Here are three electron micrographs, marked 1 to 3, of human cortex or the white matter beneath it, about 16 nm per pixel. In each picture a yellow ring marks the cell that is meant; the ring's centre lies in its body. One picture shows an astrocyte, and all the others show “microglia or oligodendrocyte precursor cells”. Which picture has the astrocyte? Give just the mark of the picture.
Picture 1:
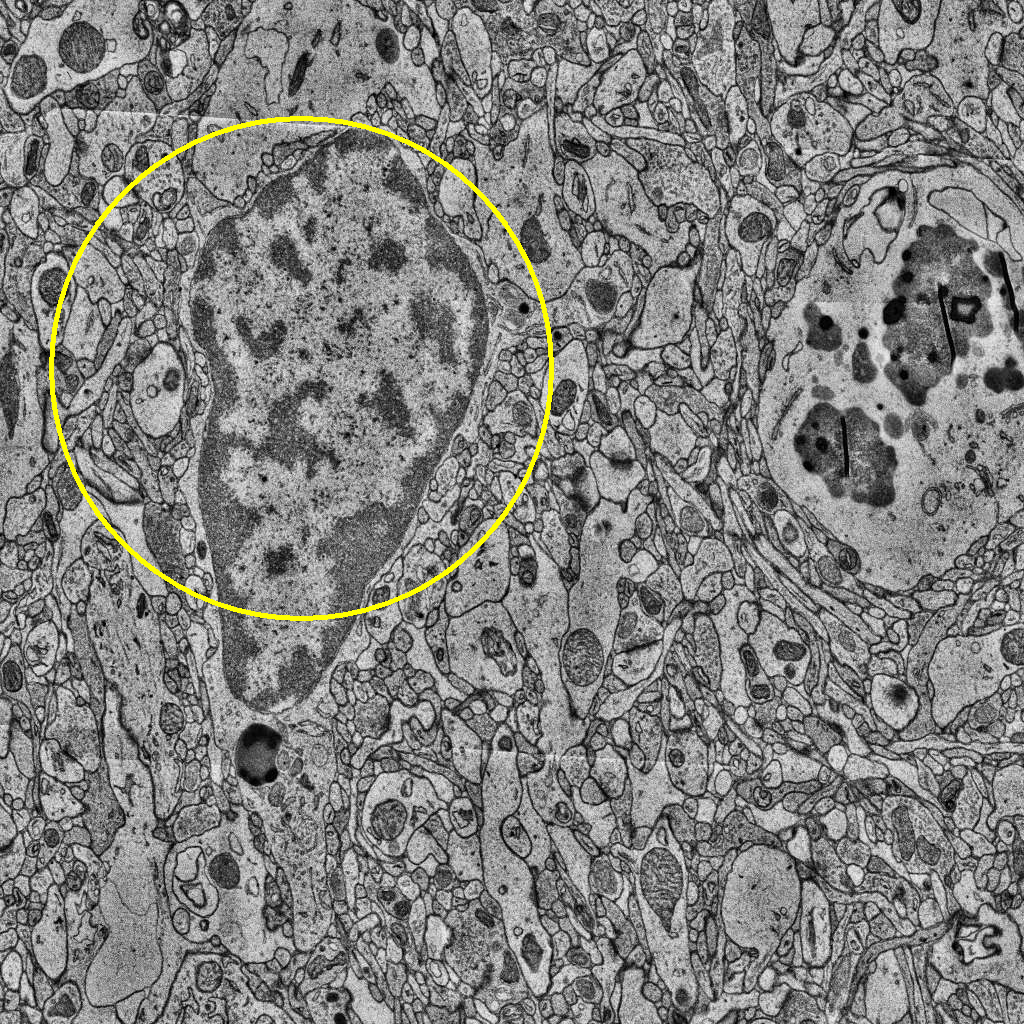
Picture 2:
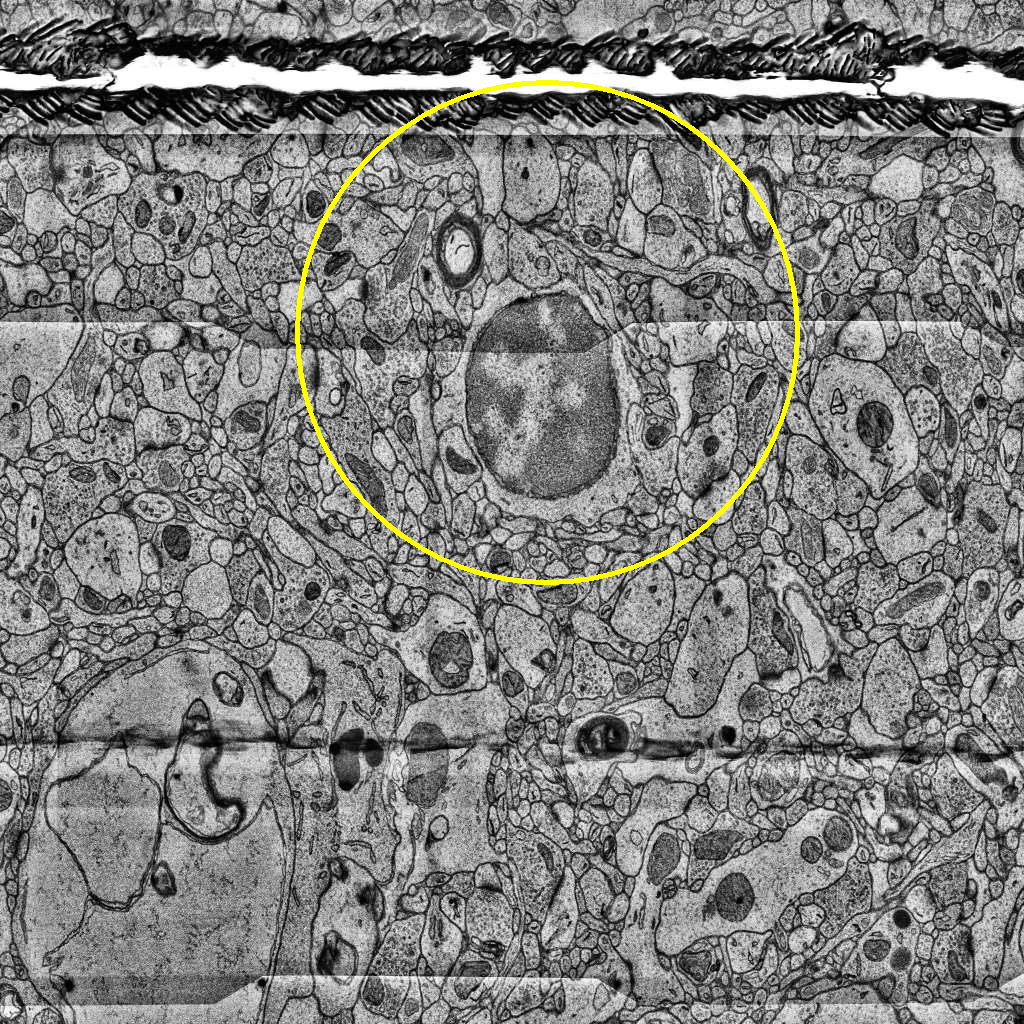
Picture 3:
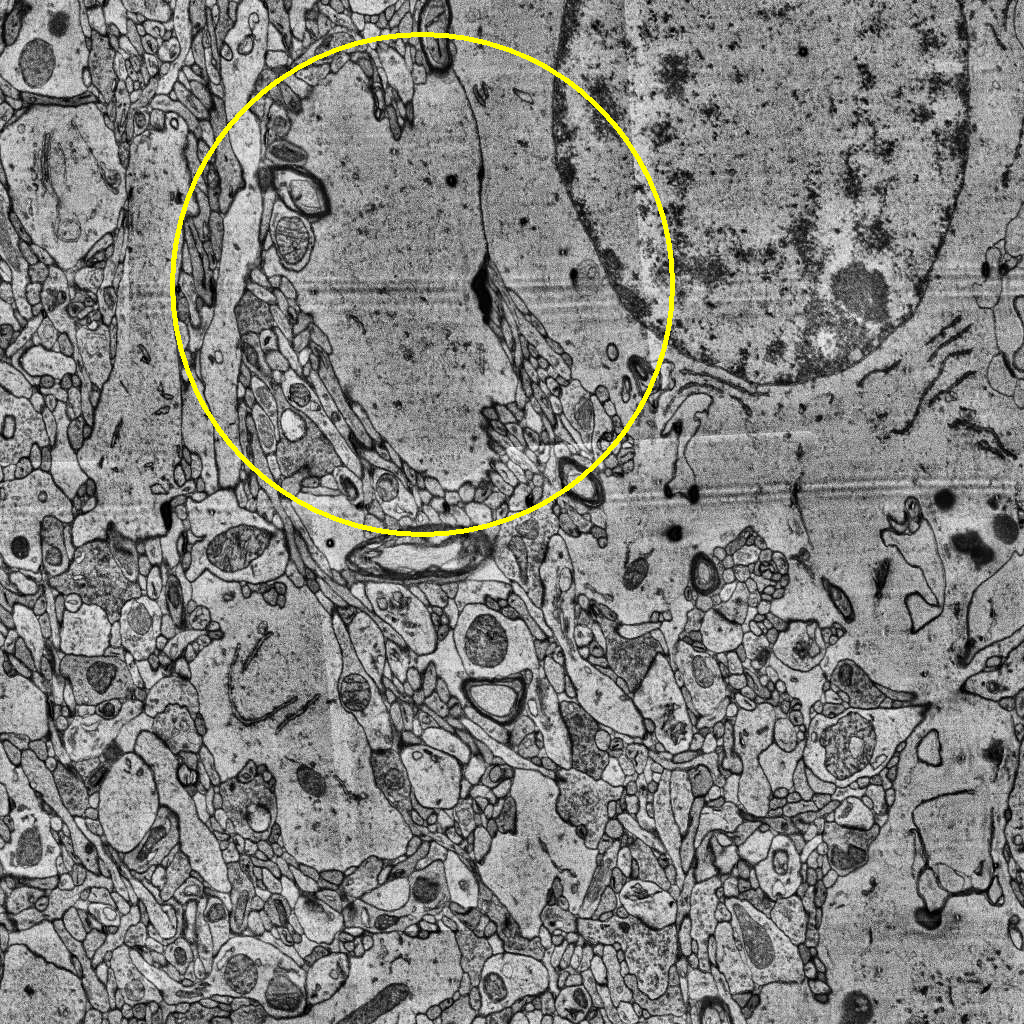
3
